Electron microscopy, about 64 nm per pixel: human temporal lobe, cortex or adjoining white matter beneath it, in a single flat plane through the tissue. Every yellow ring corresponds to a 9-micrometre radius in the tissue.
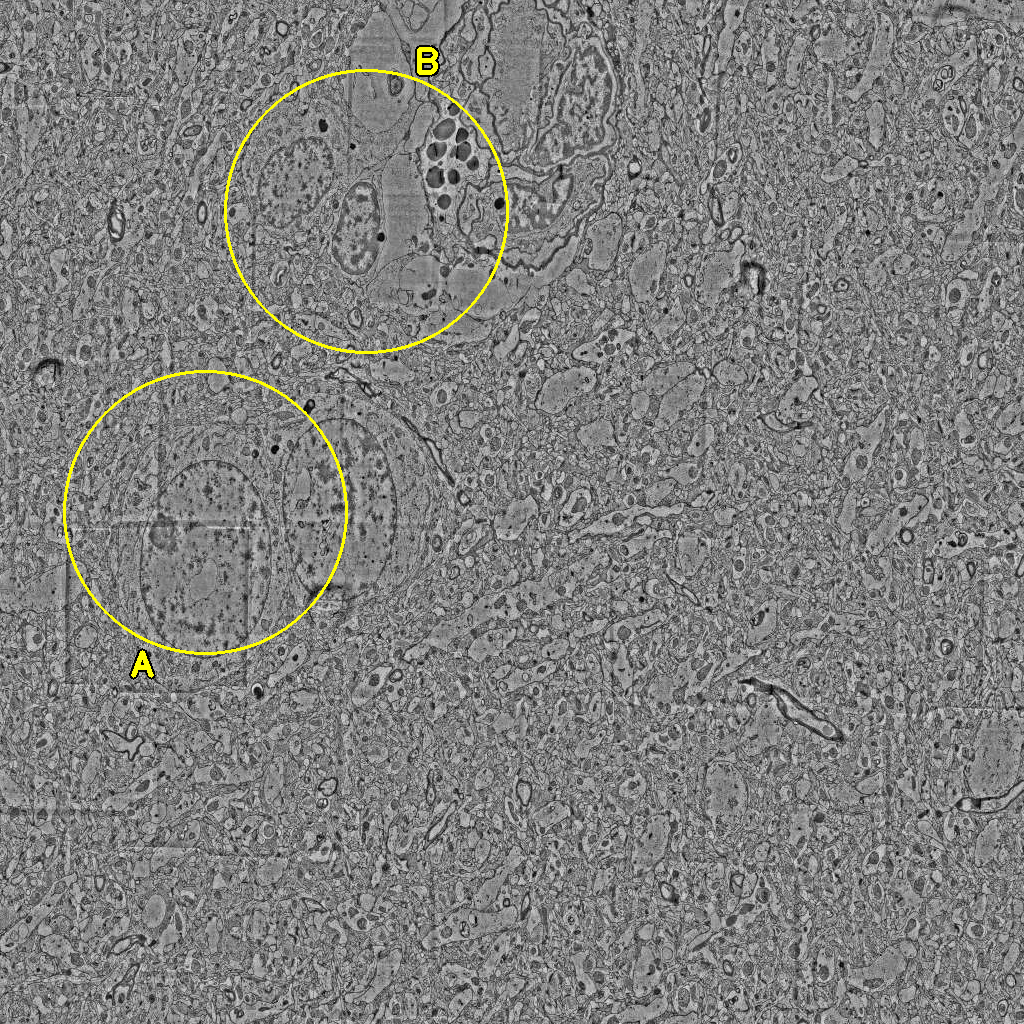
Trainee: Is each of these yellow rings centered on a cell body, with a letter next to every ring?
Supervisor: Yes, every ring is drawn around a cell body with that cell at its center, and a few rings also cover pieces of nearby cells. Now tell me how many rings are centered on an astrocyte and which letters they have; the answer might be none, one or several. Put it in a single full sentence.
Zero rings, of all those lettered in the micrograph, are centred on an astrocyte.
